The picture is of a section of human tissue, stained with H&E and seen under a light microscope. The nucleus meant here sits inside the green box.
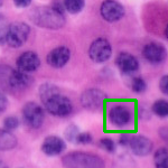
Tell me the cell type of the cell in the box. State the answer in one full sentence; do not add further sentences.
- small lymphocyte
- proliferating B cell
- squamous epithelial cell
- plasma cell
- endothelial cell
In this tissue section, the cell in the box is to be classed as a plasma cell.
